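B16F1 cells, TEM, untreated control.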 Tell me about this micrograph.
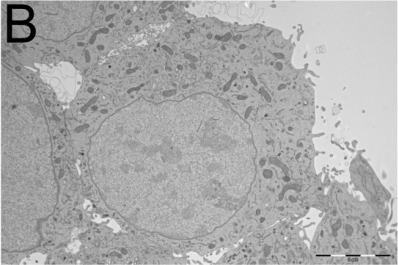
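A cultured cell with a large oval nucleus containing dense nucleolar material and finely granular chromatin. The surrounding cytoplasm holds many elongated and round dense mitochondria, and the free cell surface carries short projections.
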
